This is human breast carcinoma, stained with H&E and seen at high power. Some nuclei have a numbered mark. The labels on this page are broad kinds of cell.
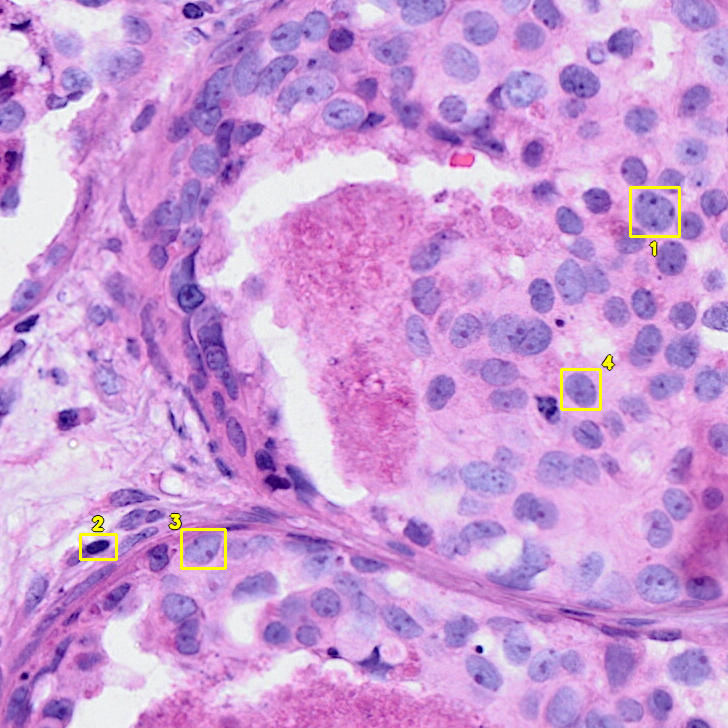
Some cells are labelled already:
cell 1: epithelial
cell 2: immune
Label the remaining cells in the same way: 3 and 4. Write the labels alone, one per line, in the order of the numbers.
epithelial
epithelial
